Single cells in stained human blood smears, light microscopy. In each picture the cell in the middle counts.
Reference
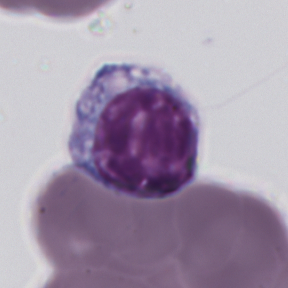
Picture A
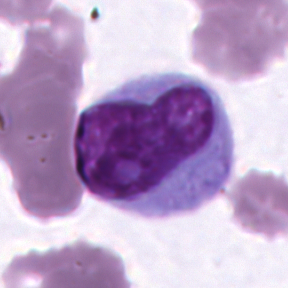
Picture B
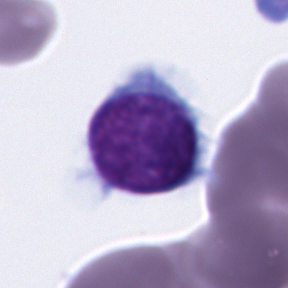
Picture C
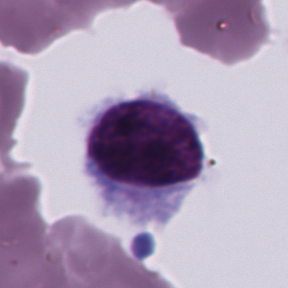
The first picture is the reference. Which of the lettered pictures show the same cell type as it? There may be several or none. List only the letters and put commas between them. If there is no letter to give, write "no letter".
A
